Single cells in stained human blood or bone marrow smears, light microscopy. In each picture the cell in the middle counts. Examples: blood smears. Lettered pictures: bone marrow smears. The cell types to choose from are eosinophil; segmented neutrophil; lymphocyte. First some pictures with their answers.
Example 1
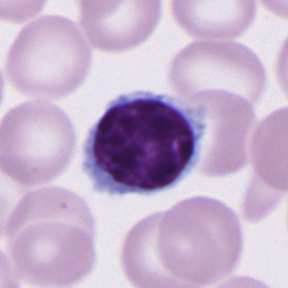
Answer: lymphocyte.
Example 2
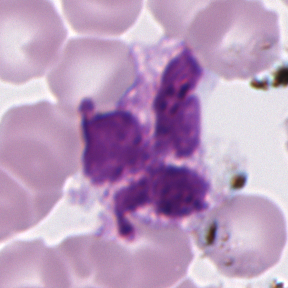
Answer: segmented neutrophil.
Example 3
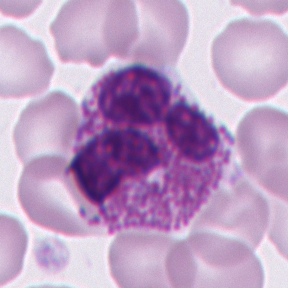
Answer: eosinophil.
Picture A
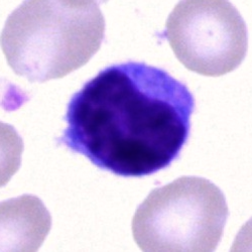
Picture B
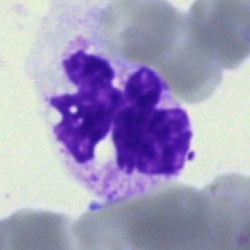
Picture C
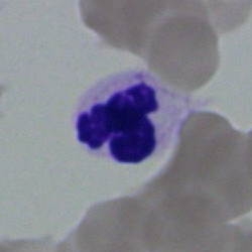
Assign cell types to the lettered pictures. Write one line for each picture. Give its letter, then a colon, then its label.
A: lymphocyte.
B: segmented neutrophil.
C: segmented neutrophil.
